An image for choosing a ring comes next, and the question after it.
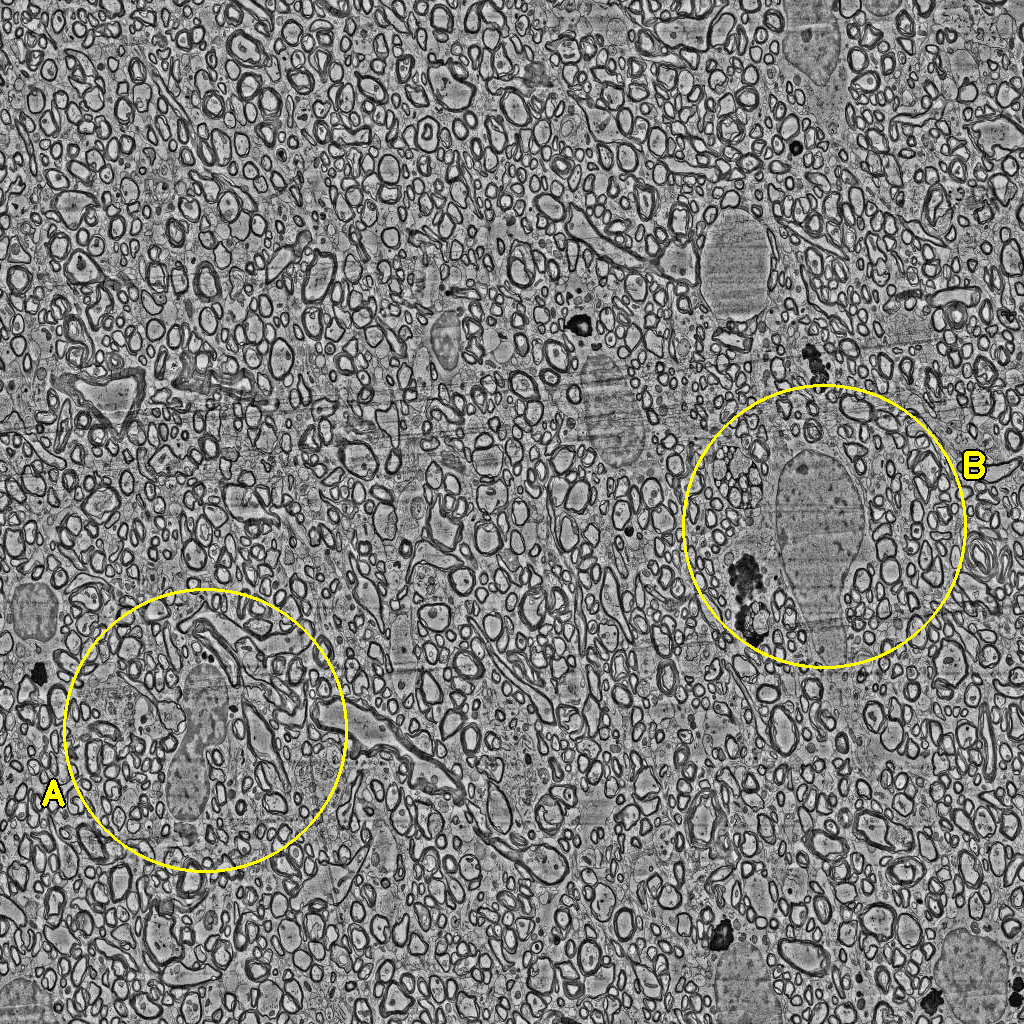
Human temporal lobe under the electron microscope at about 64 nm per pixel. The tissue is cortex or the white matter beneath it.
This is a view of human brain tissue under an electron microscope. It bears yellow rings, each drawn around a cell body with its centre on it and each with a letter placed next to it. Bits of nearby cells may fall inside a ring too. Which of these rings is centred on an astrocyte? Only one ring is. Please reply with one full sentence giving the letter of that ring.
Of all the lettered rings, B is the one centred on a cell of that kind.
